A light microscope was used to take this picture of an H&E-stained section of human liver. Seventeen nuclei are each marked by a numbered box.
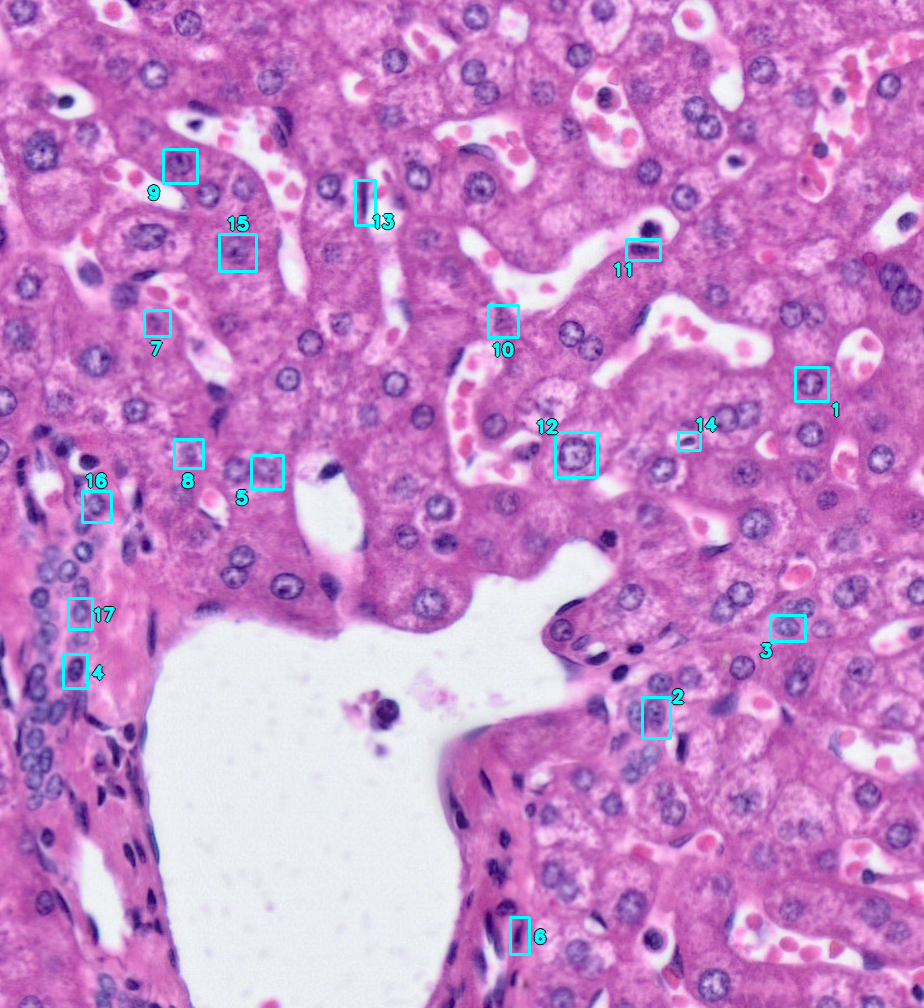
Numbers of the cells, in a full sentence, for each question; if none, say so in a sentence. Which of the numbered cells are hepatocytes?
The cells that the numbers 1, 5, 7, 8, 9, 10, 12 and 15 belong to are hepatocytes.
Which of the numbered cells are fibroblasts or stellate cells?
The cells that have numbers 6 and 11 are fibroblasts or stellate cells.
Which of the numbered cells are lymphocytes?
Only the cell numbered 14 qualifies as a lymphocyte among the marked cells.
